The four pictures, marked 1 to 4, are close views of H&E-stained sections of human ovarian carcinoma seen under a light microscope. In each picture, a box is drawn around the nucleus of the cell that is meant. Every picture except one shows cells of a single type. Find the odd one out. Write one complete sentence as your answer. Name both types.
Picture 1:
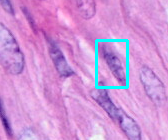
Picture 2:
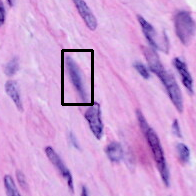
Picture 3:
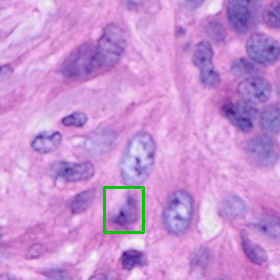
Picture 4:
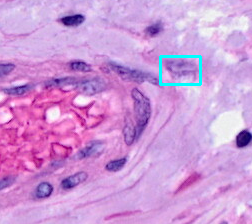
Unlike the rest, which show fibroblasts, picture 2 shows a smooth muscle cell.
